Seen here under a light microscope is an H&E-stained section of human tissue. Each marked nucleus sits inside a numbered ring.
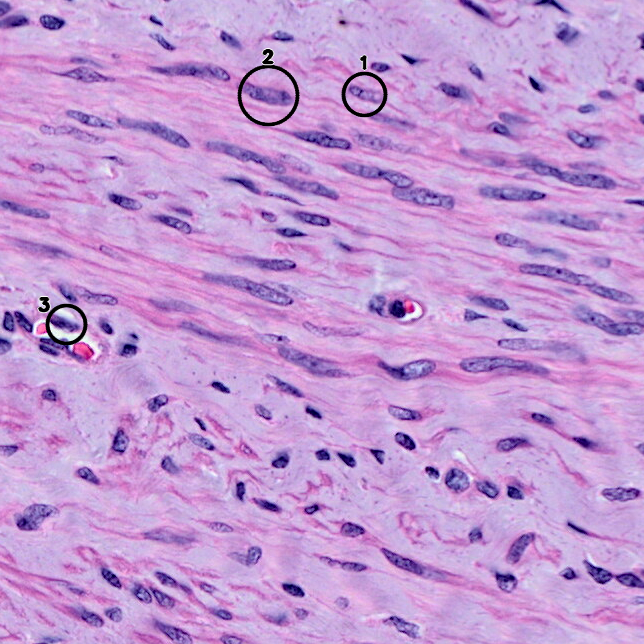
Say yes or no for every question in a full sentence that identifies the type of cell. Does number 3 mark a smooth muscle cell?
No, not a smooth muscle cell: the cell with number 3 is an endothelial cell.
